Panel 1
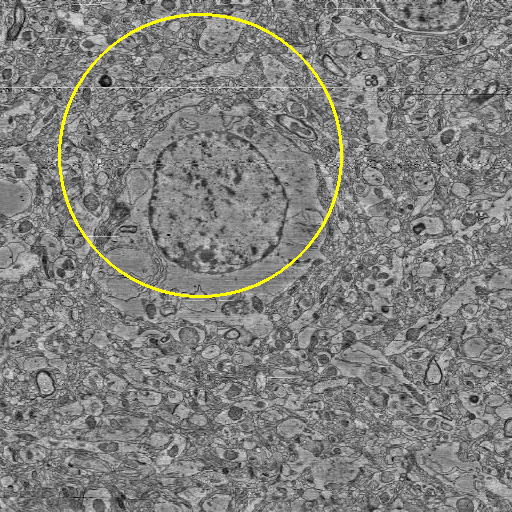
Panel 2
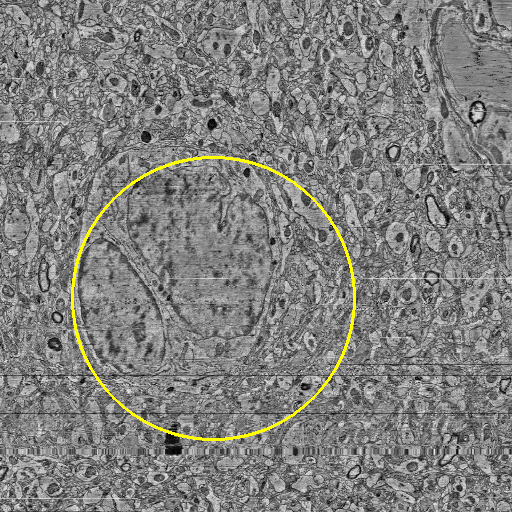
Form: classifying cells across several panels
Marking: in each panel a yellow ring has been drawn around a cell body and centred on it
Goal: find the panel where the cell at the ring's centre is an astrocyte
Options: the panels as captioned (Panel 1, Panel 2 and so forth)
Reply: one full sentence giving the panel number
Panel 1 shows the wanted cell at the centre of its ring.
